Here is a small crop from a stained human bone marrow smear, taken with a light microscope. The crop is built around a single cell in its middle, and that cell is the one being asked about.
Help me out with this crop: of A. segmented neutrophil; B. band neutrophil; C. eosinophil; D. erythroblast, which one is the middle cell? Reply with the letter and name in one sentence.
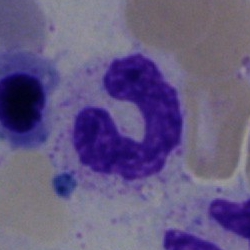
The cell in the middle is correctly identified as a band neutrophil in option B.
